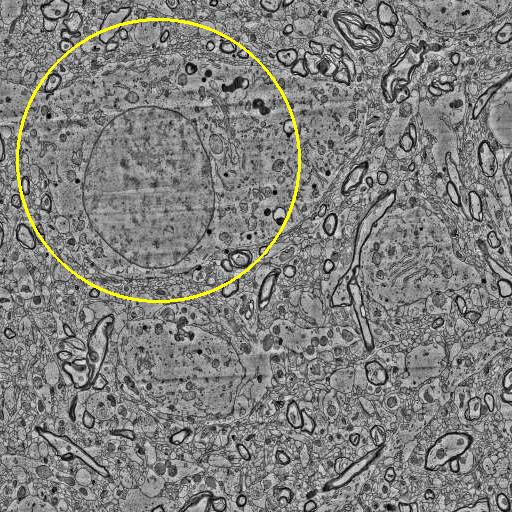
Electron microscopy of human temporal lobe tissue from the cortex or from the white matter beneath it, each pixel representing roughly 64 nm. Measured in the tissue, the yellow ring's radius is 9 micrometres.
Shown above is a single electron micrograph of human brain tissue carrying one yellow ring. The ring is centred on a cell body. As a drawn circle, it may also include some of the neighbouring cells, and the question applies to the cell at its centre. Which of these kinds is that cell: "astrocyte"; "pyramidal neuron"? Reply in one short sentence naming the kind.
The cell marked by the ring is a pyramidal neuron.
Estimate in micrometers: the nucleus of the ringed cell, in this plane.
The ringed cell's nucleus measures approximately 10 by 9 micrometres in this plane.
